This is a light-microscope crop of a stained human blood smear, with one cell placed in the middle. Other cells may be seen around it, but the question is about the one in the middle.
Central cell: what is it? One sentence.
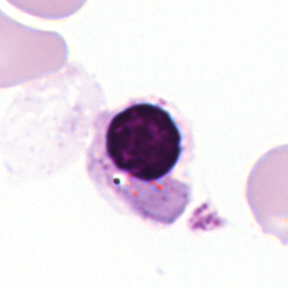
The cell in the middle of this crop is a normoblast.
